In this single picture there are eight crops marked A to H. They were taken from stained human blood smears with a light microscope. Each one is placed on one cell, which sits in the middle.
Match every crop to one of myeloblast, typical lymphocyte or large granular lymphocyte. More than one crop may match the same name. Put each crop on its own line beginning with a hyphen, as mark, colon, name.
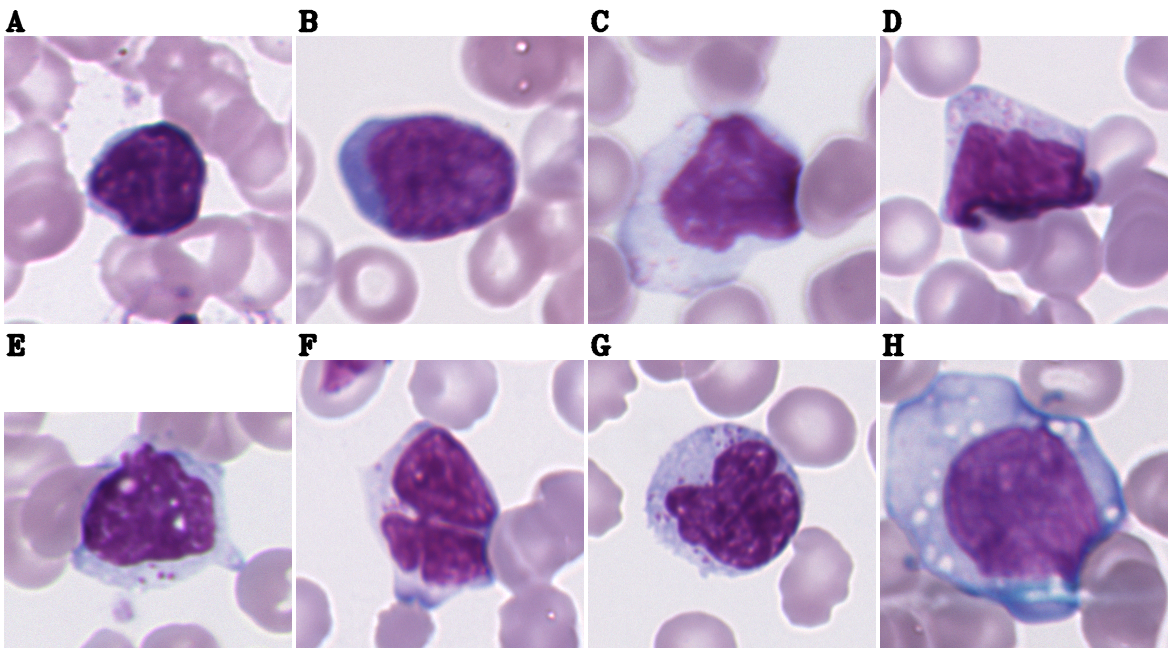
- A: typical lymphocyte
- B: myeloblast
- C: large granular lymphocyte
- D: large granular lymphocyte
- E: large granular lymphocyte
- F: large granular lymphocyte
- G: large granular lymphocyte
- H: myeloblast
